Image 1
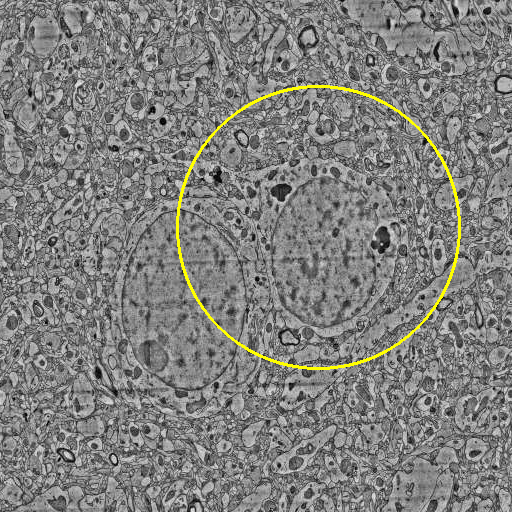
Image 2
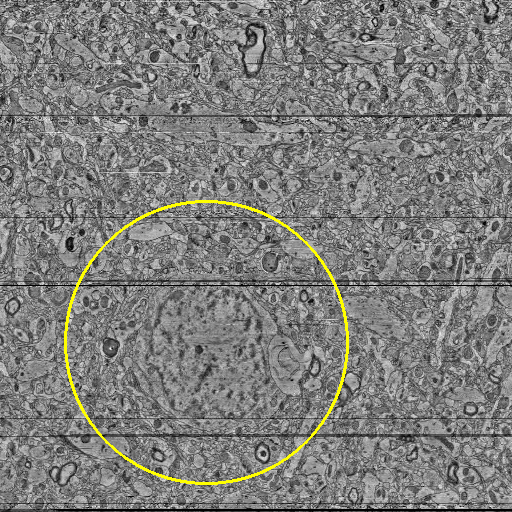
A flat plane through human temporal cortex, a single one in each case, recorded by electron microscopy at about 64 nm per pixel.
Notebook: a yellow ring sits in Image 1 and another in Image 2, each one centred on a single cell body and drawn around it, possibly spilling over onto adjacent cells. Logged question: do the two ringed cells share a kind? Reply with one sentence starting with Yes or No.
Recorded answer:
Yes, both centre cells inside the rings of Image 1 and Image 2 share one kind.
